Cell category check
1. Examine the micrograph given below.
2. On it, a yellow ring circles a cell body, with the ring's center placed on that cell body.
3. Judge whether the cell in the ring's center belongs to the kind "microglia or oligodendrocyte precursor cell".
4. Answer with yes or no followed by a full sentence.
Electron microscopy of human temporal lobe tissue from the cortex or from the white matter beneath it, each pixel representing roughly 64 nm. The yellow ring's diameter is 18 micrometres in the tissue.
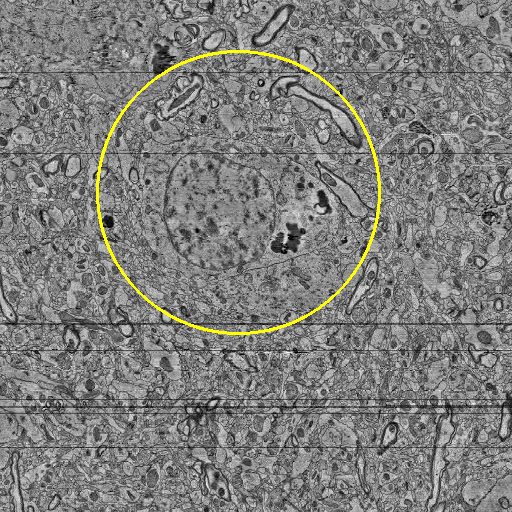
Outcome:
No, the cell found at the ring's center in the micrograph belongs to another kind.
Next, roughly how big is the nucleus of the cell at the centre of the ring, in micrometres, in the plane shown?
In this plane, roughly 8 micrometres across.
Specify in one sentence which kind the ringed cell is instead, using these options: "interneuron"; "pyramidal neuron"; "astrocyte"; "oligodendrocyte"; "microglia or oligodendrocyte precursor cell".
Instead, the cell at the centre of the yellow ring is an interneuron.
